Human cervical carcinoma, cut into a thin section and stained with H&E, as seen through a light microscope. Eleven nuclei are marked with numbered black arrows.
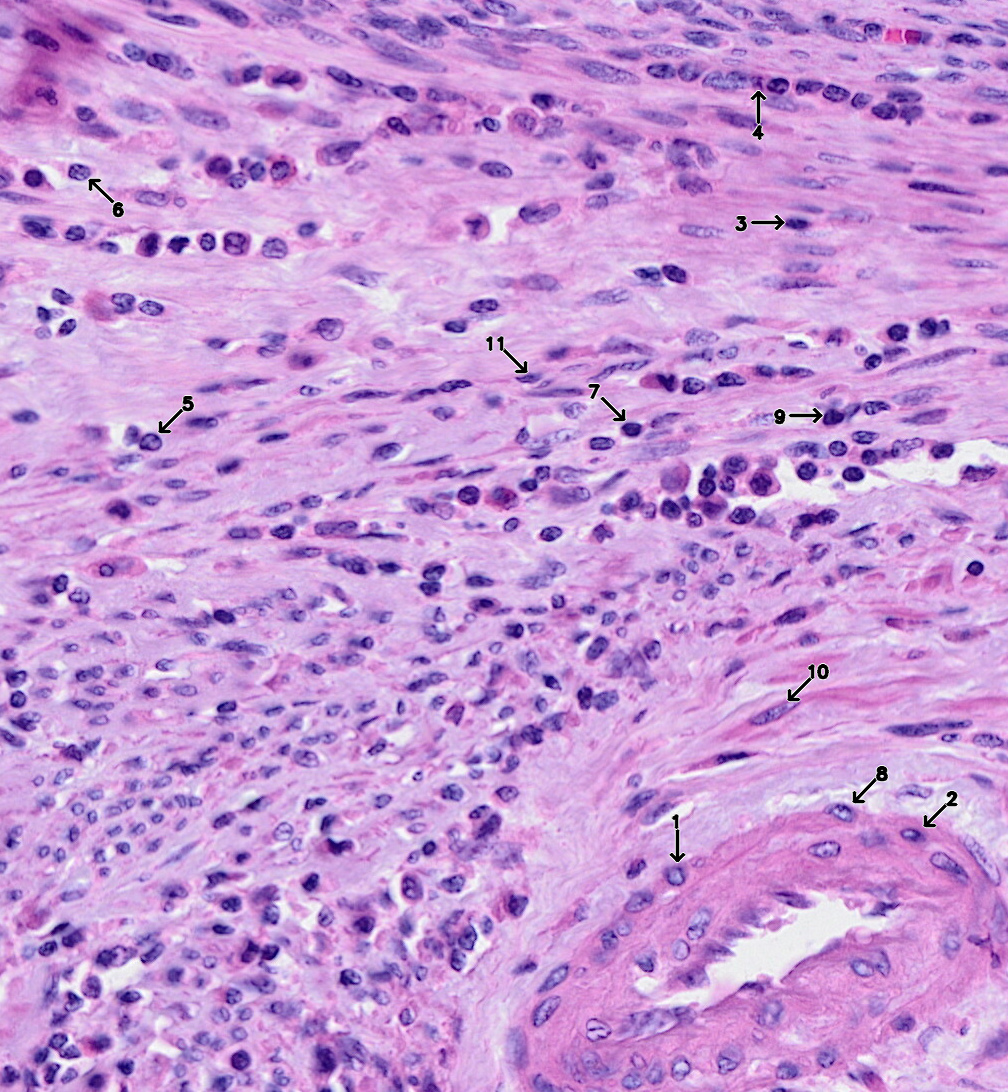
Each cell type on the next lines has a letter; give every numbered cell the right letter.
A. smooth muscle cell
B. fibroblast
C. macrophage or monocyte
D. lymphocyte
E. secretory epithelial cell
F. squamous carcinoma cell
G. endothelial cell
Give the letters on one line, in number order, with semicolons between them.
A; A; D; G; D; D; D; A; D; A; B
